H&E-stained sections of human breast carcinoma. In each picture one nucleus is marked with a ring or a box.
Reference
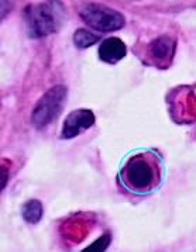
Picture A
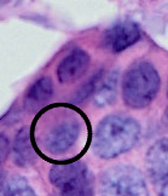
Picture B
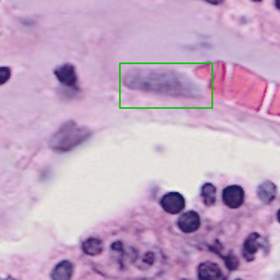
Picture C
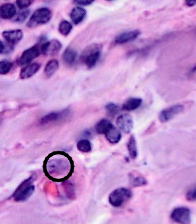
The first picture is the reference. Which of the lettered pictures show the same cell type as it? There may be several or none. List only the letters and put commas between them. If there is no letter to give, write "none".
none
